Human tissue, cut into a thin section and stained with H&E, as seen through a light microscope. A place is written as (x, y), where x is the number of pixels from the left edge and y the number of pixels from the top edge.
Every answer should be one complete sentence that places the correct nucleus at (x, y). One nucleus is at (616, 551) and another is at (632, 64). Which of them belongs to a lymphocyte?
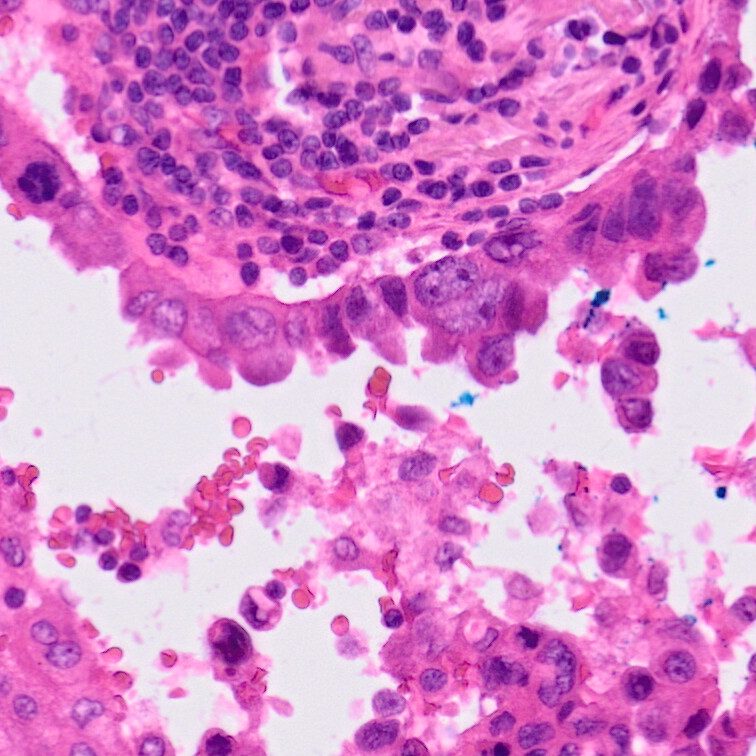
The nucleus whose cell is a lymphocyte is the one at (632, 64).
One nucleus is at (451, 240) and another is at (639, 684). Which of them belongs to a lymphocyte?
The nucleus that sits at (451, 240) is the nucleus of a lymphocyte.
